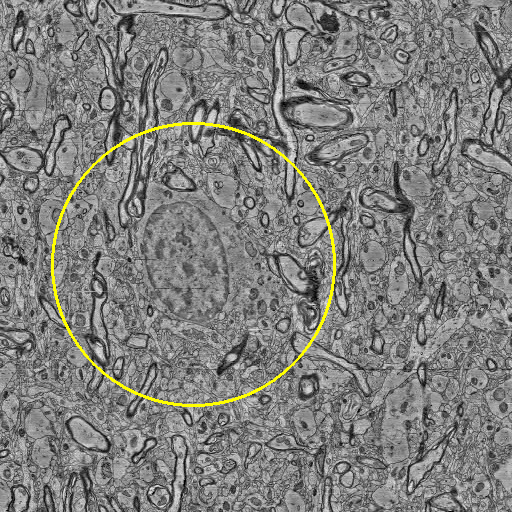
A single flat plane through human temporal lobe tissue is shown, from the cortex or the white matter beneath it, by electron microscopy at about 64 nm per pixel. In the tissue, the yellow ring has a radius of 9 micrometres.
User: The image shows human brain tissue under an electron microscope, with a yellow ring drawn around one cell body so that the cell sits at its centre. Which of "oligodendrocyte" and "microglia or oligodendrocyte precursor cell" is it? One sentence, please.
At the centre of the ring sits an oligodendrocyte.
